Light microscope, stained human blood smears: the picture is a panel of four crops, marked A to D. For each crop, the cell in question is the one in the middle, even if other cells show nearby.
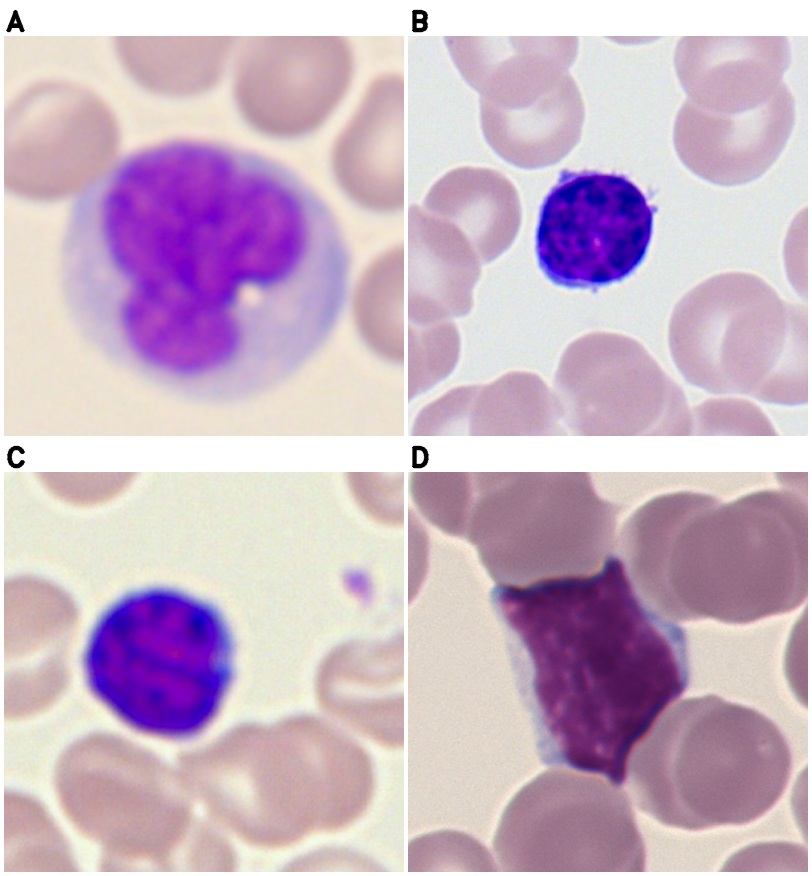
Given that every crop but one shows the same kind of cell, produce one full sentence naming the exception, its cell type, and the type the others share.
Crop A holds a monocyte, unlike the remaining crops, all of which hold lymphocytes.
